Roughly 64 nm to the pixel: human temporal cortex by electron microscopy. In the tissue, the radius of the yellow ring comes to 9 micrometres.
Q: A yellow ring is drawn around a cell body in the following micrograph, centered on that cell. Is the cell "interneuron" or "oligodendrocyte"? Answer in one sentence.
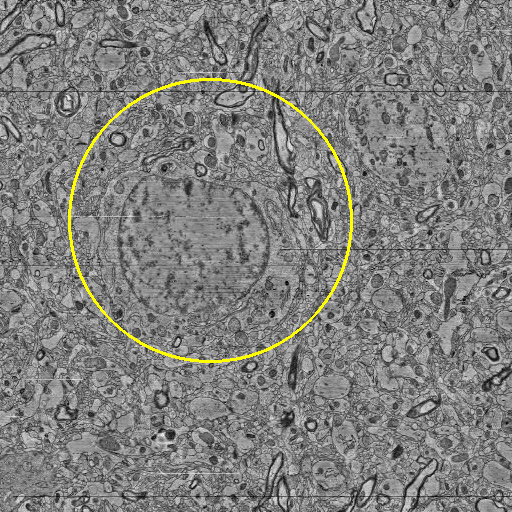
The cell in the center of the ring is an interneuron.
